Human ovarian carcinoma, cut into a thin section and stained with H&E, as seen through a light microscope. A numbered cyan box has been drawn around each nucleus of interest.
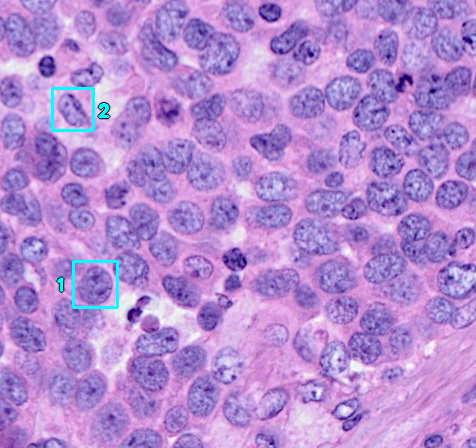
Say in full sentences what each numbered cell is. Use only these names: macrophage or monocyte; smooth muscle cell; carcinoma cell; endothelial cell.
Cell 1 is a carcinoma cell and cell 2 is a macrophage or monocyte.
